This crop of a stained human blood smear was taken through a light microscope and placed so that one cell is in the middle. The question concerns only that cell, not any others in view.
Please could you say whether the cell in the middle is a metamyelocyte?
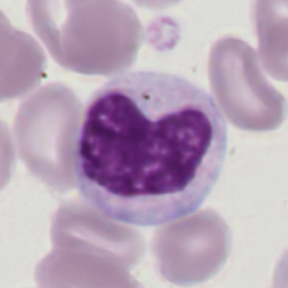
yes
